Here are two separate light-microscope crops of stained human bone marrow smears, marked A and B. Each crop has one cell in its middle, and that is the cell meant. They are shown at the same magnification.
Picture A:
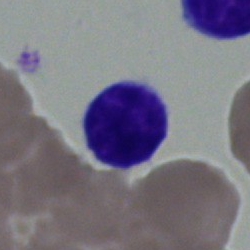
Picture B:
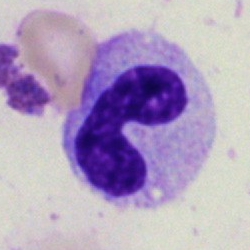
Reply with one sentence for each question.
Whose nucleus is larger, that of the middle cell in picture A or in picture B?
It is the nucleus in picture B, about 1.5 times as large in area as the one in picture A.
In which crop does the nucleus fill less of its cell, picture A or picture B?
In picture B the nucleus takes up the smaller part of its cell.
